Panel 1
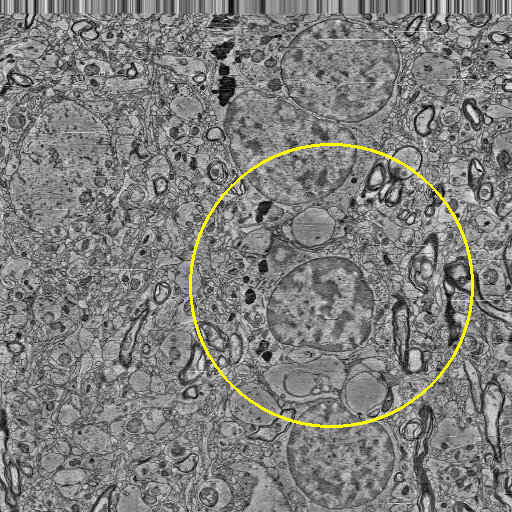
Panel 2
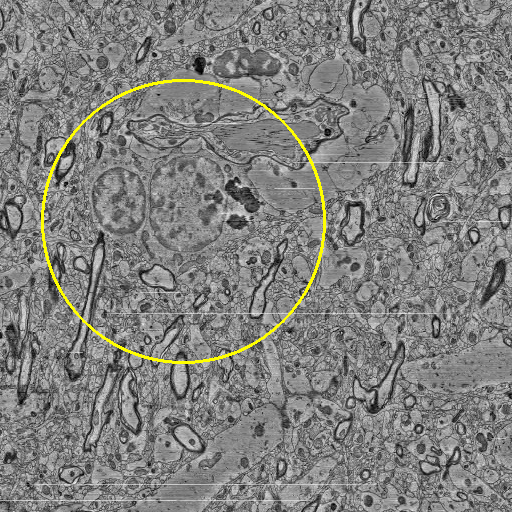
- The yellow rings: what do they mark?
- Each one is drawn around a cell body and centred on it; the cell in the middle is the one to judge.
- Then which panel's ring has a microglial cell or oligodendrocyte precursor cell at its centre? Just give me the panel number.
1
